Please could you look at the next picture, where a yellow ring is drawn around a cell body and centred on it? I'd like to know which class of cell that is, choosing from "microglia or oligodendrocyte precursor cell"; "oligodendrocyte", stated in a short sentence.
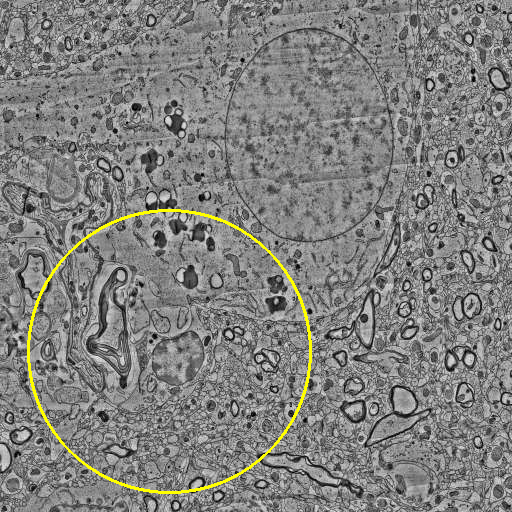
The ring's centre lies on a microglial cell or oligodendrocyte precursor cell.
